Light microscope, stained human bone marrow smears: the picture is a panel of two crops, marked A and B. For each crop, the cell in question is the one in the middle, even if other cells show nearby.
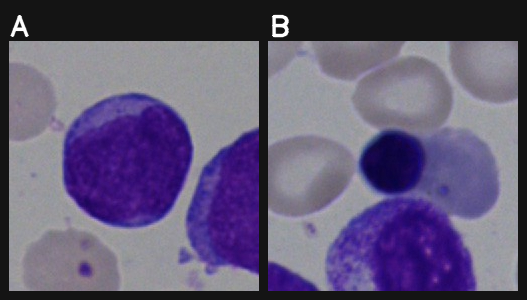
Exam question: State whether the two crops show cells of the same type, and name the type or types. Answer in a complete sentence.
No, a blast is centred in crop A, and a normoblast is centred in crop B.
